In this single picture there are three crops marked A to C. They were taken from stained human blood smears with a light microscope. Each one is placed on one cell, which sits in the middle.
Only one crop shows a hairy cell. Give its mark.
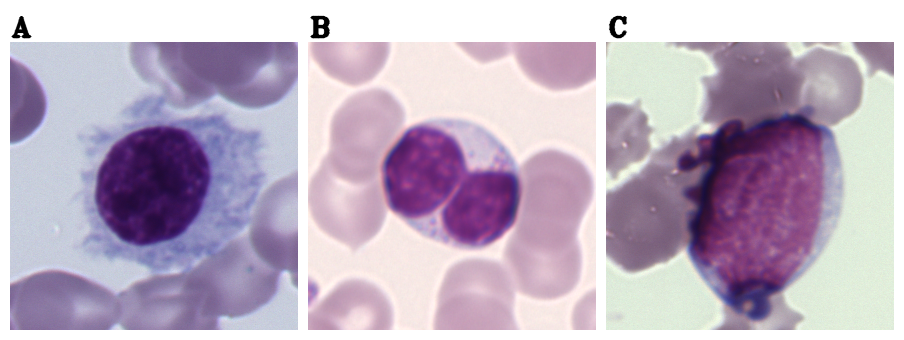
A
